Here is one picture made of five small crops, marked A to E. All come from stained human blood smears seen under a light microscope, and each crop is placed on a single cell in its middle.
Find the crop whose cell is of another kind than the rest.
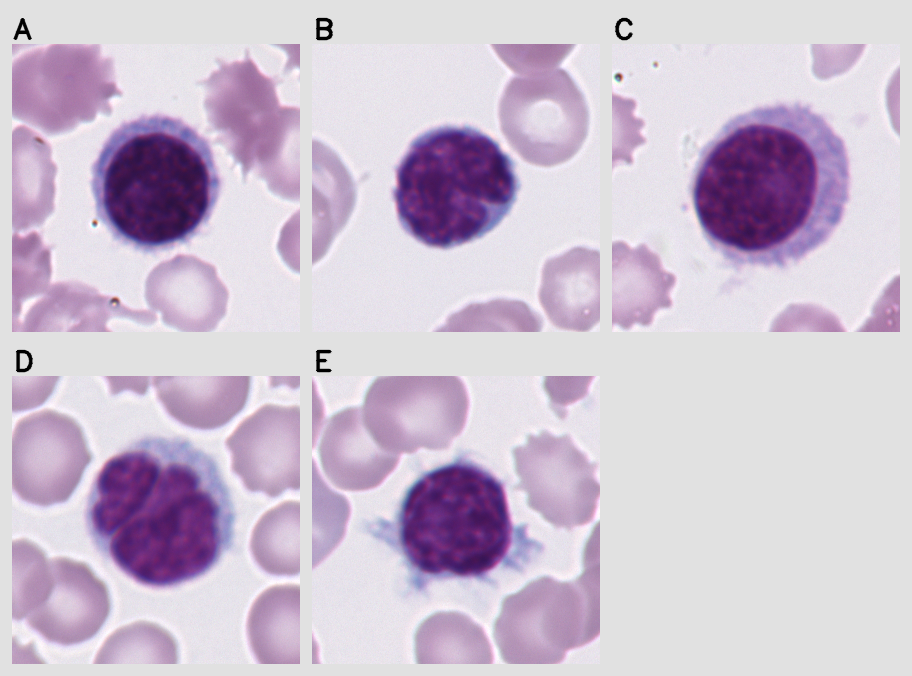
B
